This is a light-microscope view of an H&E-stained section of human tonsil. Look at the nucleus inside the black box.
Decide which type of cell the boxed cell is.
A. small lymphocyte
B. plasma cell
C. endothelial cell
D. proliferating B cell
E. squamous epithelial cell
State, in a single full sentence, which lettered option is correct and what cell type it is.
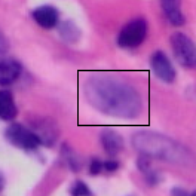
Right answer, option C: the boxed cell is an endothelial cell.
